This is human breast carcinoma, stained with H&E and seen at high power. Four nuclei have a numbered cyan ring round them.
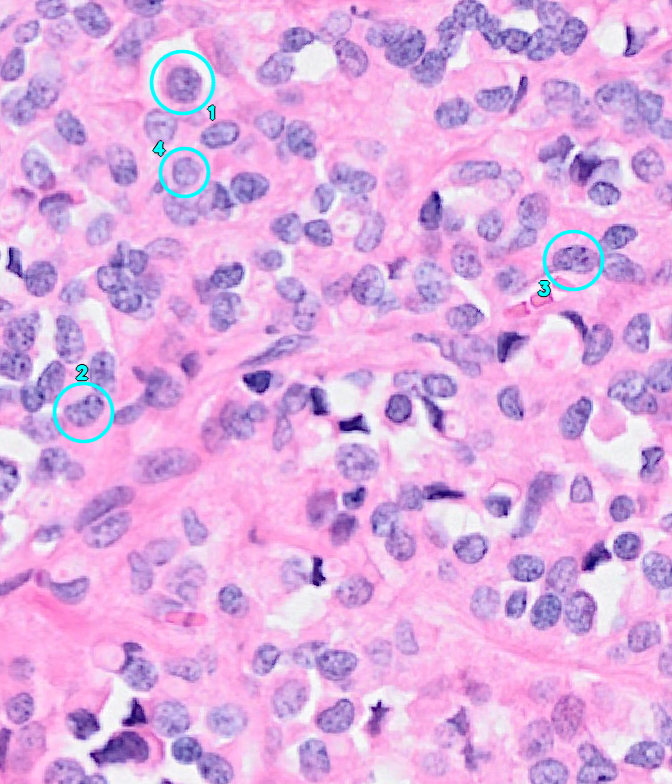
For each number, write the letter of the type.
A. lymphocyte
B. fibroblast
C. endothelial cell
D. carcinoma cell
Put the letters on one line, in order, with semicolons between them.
D; D; C; D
